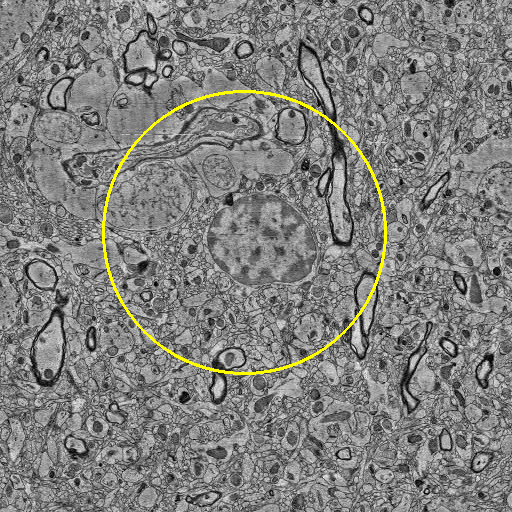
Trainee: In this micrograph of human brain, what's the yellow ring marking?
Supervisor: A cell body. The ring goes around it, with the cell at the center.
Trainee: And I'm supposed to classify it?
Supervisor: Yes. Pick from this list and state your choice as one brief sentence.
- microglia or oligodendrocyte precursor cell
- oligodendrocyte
The cell at the ring's center is a microglial cell or oligodendrocyte precursor cell.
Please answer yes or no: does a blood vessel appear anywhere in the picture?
Yes, a blood vessel is present in this picture.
